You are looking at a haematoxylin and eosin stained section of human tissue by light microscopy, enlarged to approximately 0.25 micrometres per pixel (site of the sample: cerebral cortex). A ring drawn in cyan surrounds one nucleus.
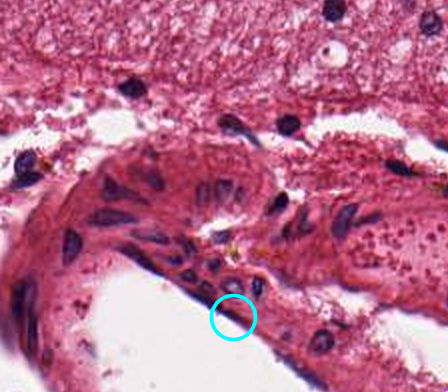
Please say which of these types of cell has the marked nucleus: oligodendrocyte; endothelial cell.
endothelial cell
